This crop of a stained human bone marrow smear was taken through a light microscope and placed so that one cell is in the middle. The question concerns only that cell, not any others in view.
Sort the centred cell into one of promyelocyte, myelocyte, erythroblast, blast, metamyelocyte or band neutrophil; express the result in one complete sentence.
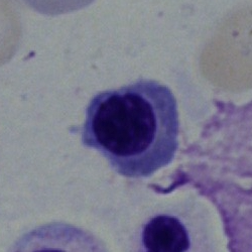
Here the cell in the middle is an erythroblast.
